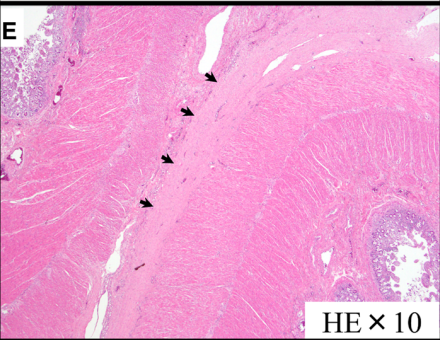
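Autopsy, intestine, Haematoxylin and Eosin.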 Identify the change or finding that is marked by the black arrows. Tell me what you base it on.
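Adhesion of the serous membrane. Two muscular walls meet along a thin band. The arrows lie along that band between the two walls.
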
